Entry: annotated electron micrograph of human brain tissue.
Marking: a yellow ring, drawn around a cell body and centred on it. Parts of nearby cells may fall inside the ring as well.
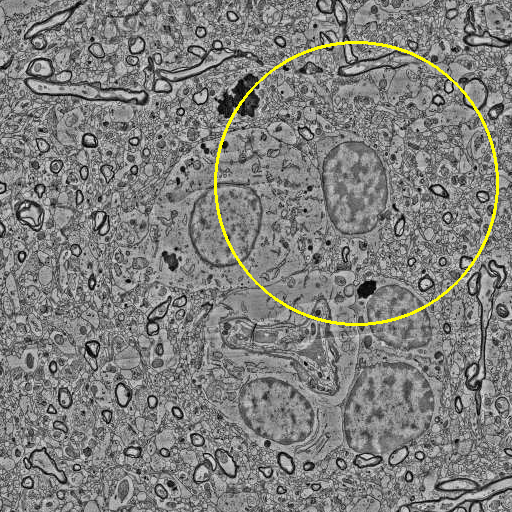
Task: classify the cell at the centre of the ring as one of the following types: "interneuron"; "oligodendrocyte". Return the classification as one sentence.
The marked cell is classified as an oligodendrocyte.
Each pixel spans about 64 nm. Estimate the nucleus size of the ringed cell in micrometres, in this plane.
In this plane, roughly 6 by 4 micrometres.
